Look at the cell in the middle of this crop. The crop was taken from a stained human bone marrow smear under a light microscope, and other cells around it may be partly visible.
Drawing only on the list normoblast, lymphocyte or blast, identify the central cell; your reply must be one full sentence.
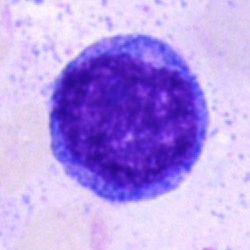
The cell sitting right in the middle is a blast.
